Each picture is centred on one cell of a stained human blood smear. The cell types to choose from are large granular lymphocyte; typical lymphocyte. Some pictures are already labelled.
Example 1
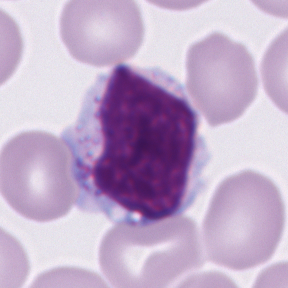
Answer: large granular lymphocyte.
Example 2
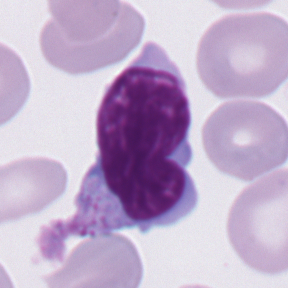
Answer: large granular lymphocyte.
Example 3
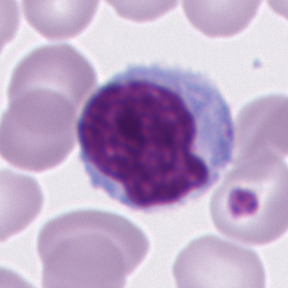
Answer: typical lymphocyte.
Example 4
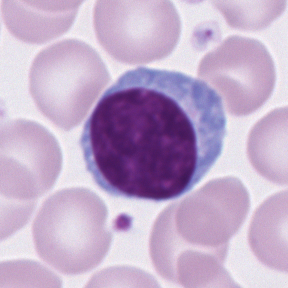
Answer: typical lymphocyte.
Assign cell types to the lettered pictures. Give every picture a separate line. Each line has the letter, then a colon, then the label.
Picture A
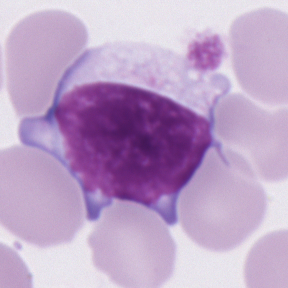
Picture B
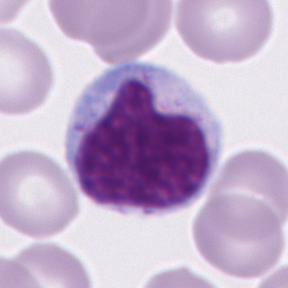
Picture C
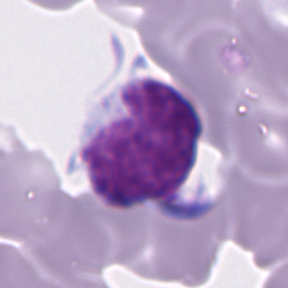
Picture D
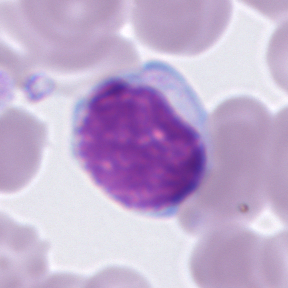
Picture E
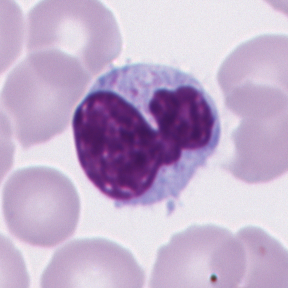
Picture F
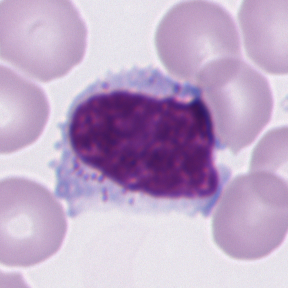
A: large granular lymphocyte.
B: large granular lymphocyte.
C: typical lymphocyte.
D: large granular lymphocyte.
E: large granular lymphocyte.
F: large granular lymphocyte.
